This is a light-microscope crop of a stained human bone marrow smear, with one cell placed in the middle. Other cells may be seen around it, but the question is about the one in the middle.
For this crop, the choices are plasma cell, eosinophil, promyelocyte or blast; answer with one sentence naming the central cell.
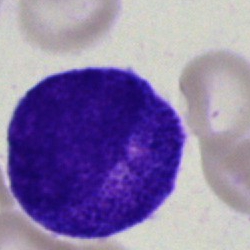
The cell at the central position in this crop is a promyelocyte.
